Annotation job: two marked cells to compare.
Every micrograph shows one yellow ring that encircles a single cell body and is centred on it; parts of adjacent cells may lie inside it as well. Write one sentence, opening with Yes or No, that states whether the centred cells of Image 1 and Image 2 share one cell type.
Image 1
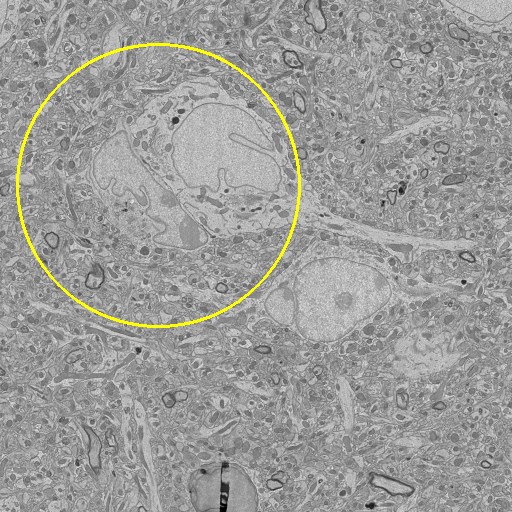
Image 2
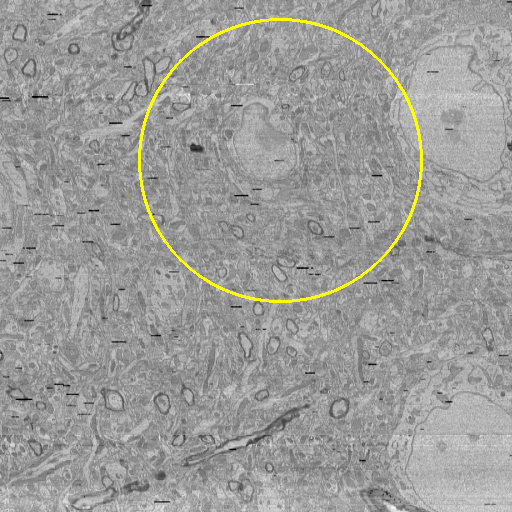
Yes, the cell centred in Image 1 shares its type with the cell centred in Image 2.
